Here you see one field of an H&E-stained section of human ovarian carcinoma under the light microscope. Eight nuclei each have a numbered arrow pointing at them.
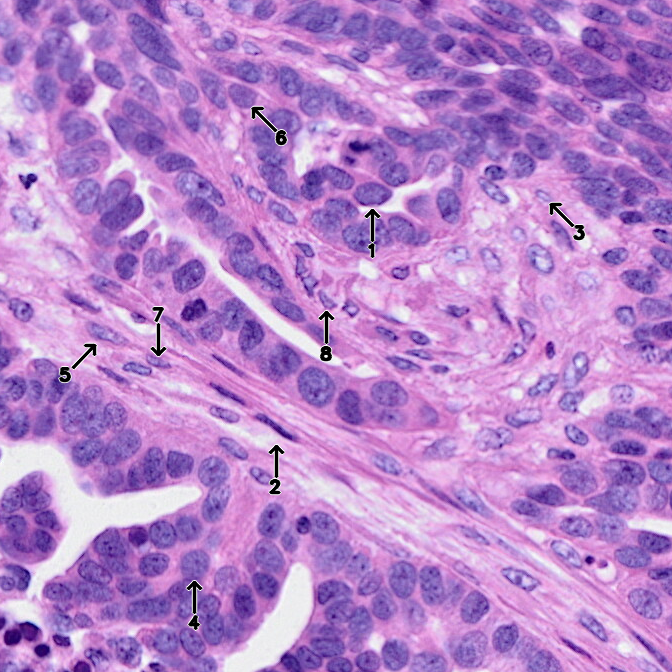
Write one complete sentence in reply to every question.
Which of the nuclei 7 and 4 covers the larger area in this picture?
Nucleus 4 is larger, with an area about 4 times that of nucleus 7.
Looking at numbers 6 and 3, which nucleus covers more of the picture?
Number 6 is larger; its area is about 3 times that of number 3.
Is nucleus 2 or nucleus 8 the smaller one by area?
Number 8 is smaller, since number 2 takes up about 2 times as much area.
